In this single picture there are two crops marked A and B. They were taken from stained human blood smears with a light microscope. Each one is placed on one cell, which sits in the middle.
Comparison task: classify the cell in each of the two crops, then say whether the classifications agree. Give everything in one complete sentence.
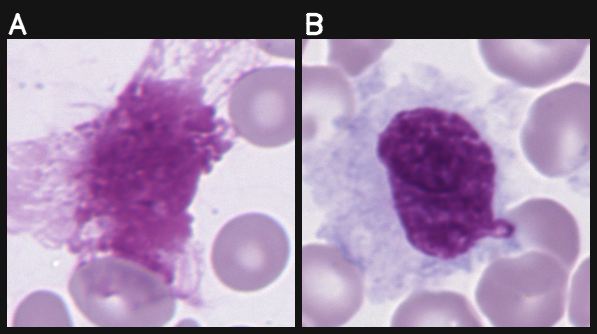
No, just to correct that: crop A shows a smudge cell, crop B shows a hairy cell.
